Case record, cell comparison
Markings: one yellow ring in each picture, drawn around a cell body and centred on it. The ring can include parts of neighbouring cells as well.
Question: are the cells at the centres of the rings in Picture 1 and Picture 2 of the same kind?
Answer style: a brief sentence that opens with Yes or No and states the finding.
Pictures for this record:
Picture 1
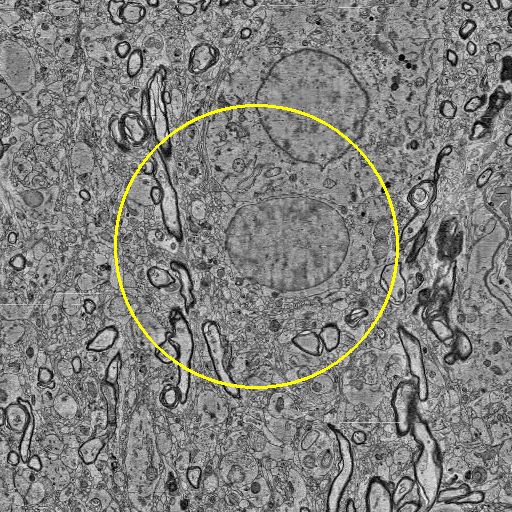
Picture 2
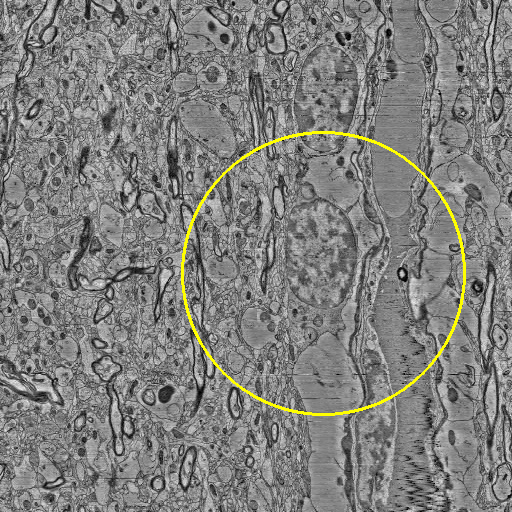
Yes, the cells in Picture 1 and Picture 2 are of the same kind.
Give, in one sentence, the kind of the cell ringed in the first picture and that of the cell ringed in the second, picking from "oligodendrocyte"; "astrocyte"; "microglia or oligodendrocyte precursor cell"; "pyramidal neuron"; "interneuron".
The first and the second cell are each an oligodendrocyte.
